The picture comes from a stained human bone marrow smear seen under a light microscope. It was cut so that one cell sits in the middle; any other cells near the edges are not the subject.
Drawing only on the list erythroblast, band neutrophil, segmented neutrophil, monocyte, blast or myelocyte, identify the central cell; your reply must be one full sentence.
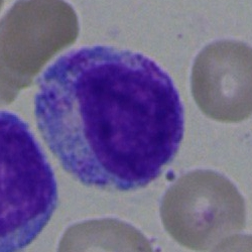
The cell at the central position in this crop is a myelocyte.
